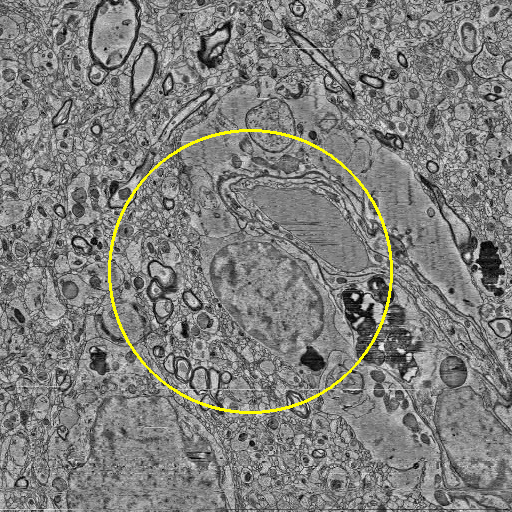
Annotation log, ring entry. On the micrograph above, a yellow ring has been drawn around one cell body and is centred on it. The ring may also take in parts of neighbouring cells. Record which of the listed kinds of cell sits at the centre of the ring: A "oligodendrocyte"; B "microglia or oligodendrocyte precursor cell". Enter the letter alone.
A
